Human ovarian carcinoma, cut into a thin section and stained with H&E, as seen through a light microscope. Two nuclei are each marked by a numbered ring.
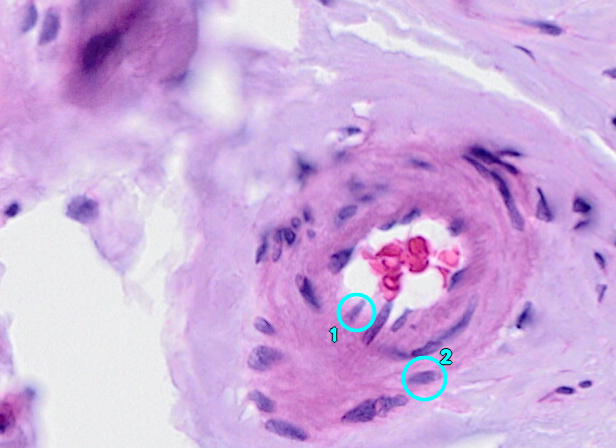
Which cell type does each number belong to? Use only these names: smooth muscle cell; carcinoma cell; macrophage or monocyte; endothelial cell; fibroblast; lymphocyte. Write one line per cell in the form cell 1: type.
cell 1: endothelial cell
cell 2: smooth muscle cell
